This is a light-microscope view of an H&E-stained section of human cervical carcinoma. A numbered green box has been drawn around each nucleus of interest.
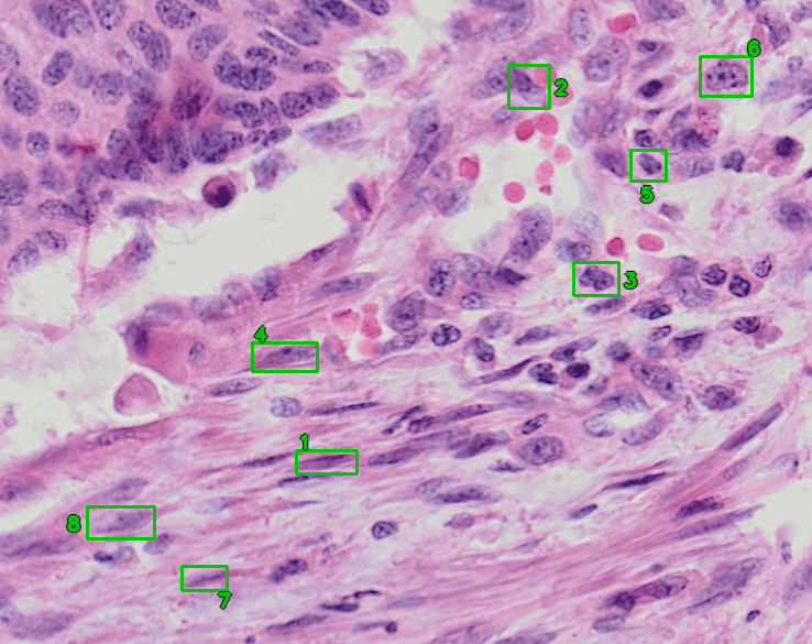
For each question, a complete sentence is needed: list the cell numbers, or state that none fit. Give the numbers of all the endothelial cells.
Cell 2 is an endothelial cell, and that holds for no other numbered cell.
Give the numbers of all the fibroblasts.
In short, the numbered cells 1, 4, 7 and 8 are fibroblasts.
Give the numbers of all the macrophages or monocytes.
The numbered cell that is a macrophage or monocyte is cell 6, and it is the only one.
